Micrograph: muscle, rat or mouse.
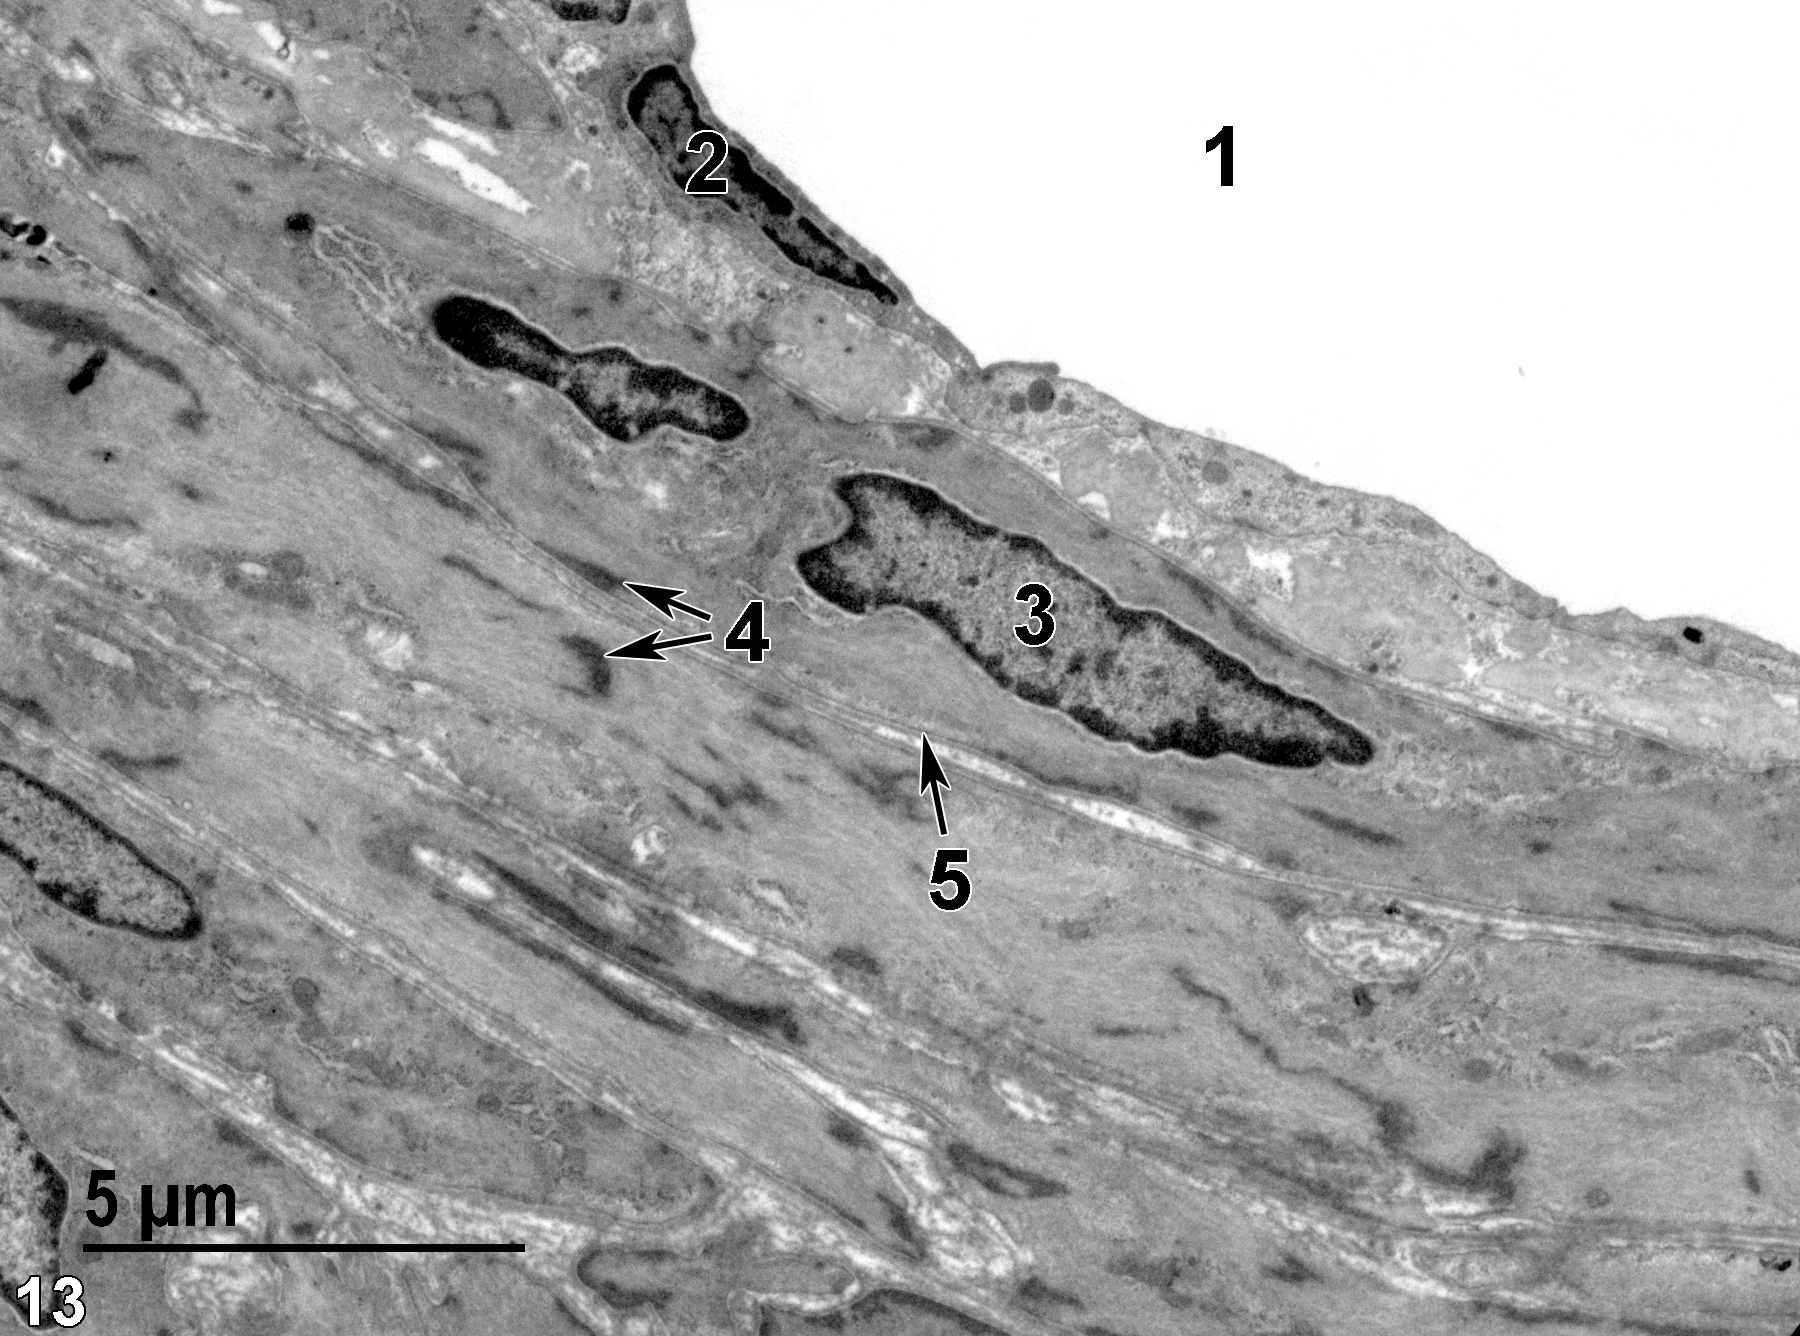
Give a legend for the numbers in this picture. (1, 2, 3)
1. lumen of an artery
2. endothelial nucleus
3. elongated nuclei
